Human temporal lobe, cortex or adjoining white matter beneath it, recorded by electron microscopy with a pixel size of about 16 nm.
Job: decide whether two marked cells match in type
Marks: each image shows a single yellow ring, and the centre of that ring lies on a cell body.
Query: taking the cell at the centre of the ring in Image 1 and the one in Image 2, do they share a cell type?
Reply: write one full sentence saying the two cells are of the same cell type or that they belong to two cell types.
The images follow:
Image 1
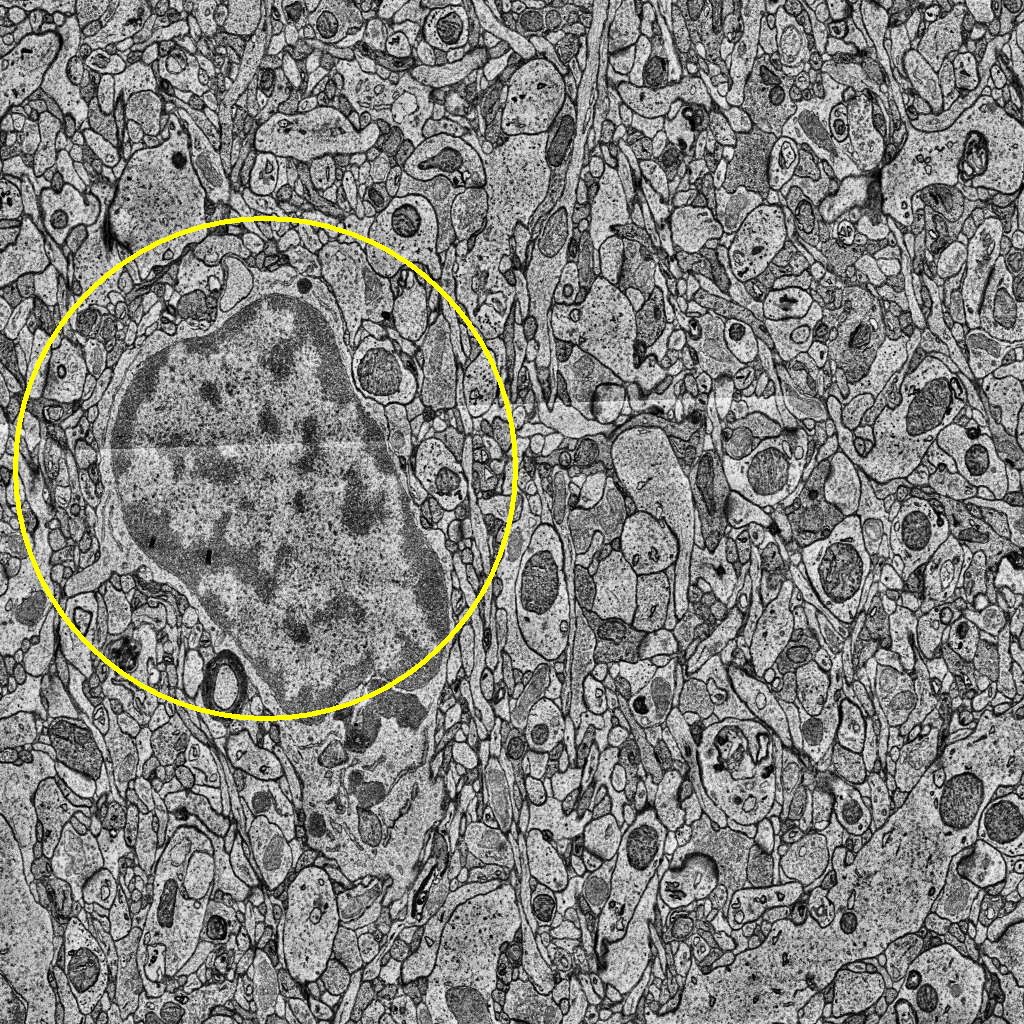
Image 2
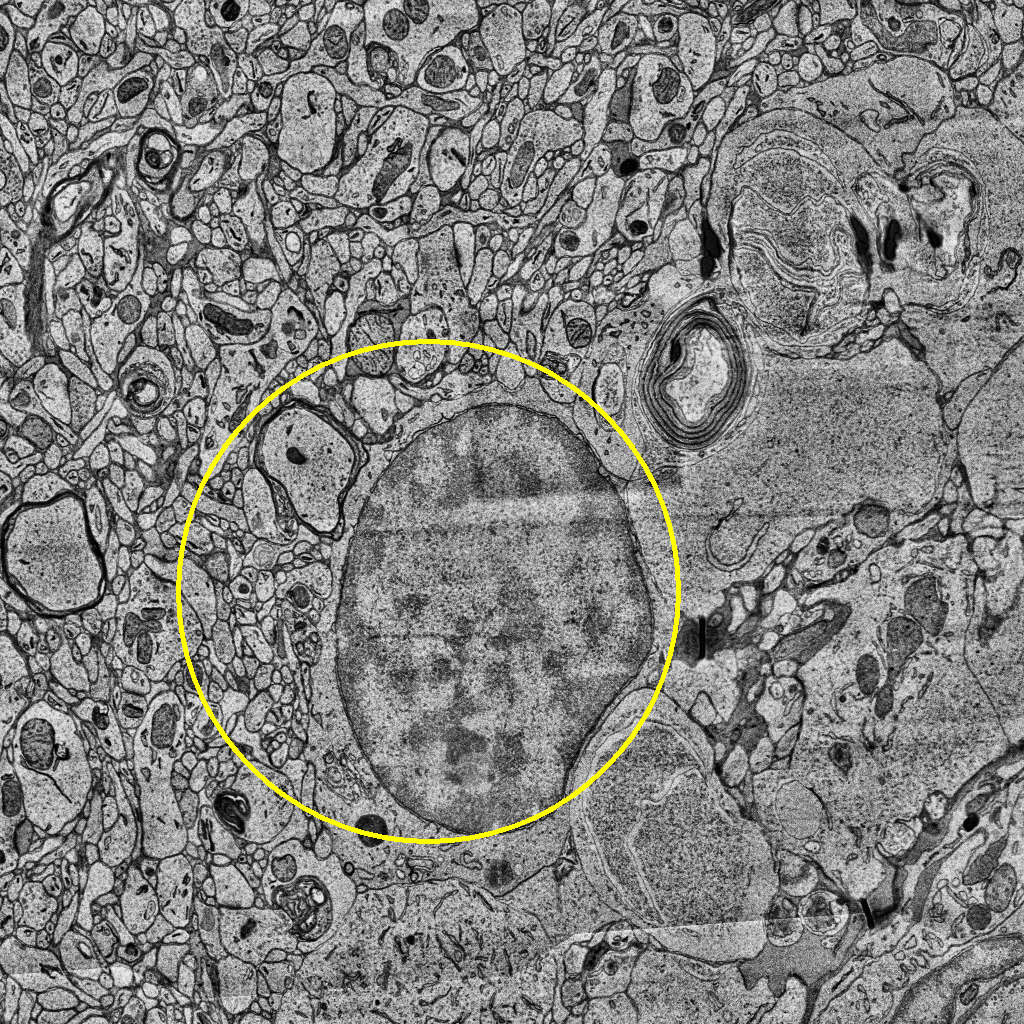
The cells at the ring centres in Image 1 and Image 2 belong to two cell types.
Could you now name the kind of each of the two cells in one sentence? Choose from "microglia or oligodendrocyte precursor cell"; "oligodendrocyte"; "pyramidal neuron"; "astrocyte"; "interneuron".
The first ring encloses a microglial cell or oligodendrocyte precursor cell; the second ring encloses an oligodendrocyte.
